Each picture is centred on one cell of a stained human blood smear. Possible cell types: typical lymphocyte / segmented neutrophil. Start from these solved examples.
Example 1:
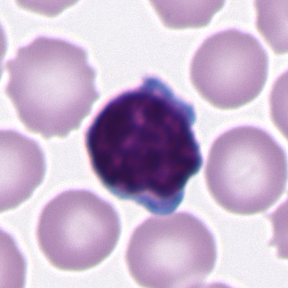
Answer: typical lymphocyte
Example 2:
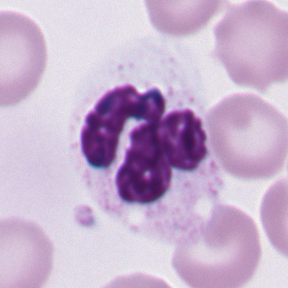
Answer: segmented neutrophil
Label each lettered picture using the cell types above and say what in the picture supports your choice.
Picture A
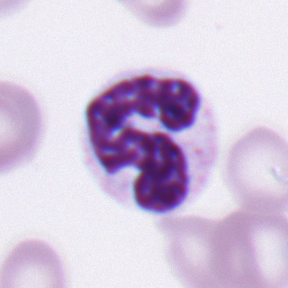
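segmented neutrophil: The nucleus is one thick band curled around a small pale gap near the centre of the cell.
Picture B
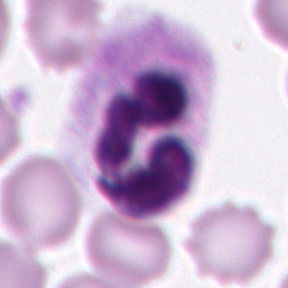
segmented neutrophil: The cytoplasm is plentiful and pale pinkish-lilac.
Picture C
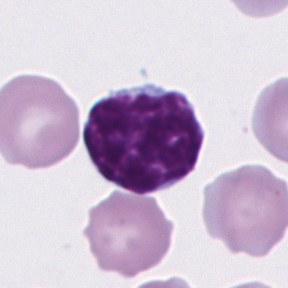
typical lymphocyte: The cytoplasm shows only as a thin pale bluish rim along the top edge.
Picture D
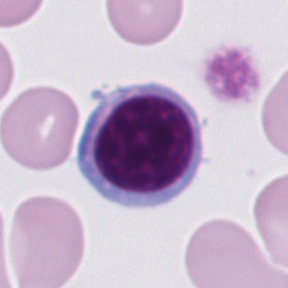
typical lymphocyte: The cytoplasm is a narrow pale blue rim around the whole nucleus.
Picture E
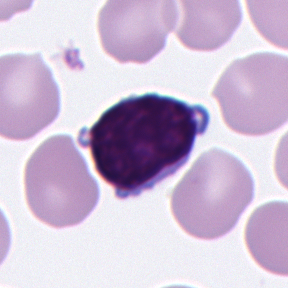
typical lymphocyte: The nucleus fills almost the whole cell.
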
